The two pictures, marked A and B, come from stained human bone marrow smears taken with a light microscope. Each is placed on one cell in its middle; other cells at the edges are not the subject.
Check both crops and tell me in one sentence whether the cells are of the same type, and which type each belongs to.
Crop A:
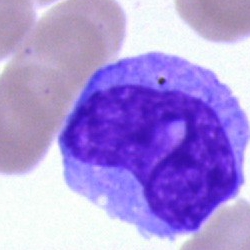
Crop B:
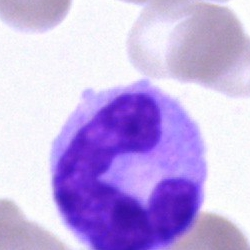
Yes, both crops here show monocytes, the pair of them.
